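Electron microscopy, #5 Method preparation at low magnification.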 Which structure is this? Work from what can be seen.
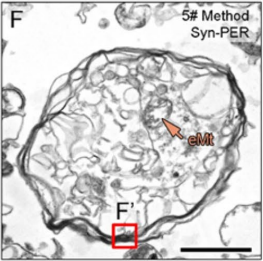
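Irregular-shaped multi-membranous structure. A large rounded profile is bounded by many stacked membrane layers. Its interior holds many small vesicles and membrane fragments.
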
